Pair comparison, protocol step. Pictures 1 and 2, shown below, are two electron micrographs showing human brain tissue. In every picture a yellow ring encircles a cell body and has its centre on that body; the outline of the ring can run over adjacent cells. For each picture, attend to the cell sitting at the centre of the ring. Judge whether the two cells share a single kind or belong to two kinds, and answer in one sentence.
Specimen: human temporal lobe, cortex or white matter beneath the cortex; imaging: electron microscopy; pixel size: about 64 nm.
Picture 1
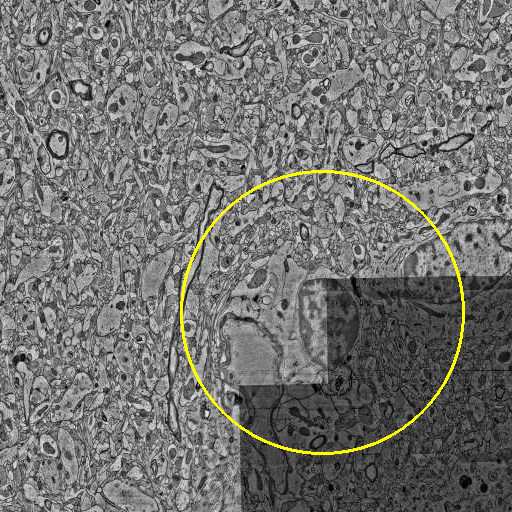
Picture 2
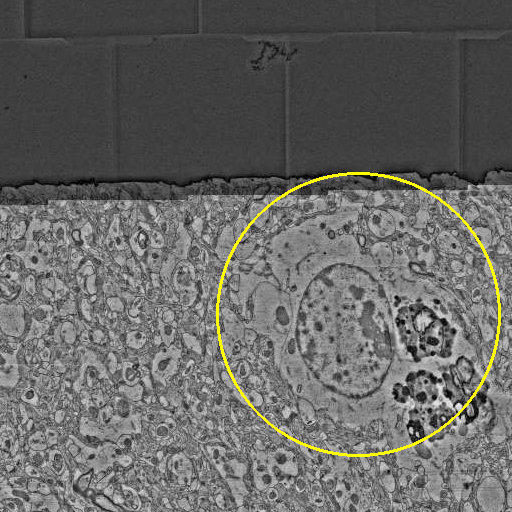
The two cells at the ring centres in Picture 1 and Picture 2 belong to two kinds.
